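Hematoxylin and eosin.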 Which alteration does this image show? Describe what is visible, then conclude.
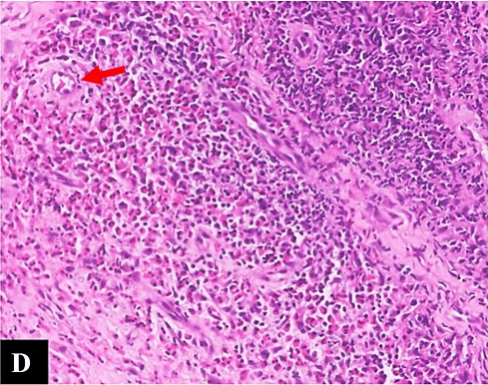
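Eosinophilic infiltrates. Many cells with bright red-pink granular cytoplasm lie in clusters.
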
